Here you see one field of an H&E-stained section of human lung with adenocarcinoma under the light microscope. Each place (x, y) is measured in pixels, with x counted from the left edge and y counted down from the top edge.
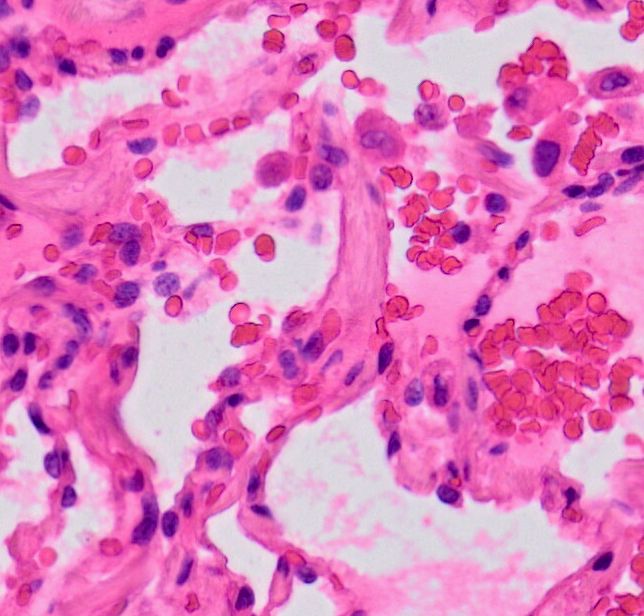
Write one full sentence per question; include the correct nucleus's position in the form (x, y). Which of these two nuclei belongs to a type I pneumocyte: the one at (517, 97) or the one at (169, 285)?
Of these two nuclei, it is the one at (169, 285) that belongs to a type I pneumocyte.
